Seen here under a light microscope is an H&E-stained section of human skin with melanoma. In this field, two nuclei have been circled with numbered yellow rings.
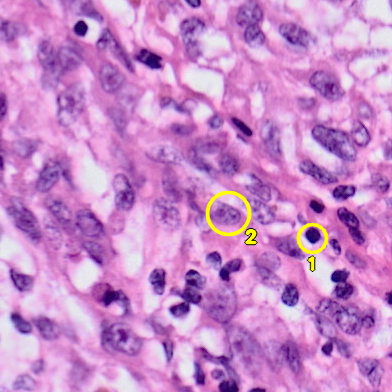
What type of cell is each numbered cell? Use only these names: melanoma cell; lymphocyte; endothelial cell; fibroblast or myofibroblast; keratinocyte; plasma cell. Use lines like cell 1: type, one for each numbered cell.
cell 1: lymphocyte
cell 2: melanoma cell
